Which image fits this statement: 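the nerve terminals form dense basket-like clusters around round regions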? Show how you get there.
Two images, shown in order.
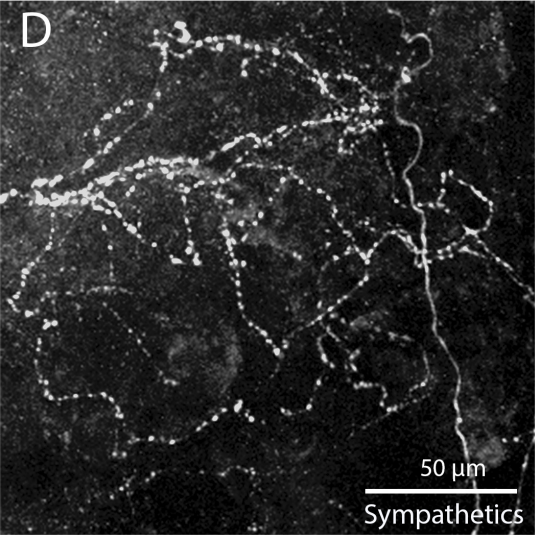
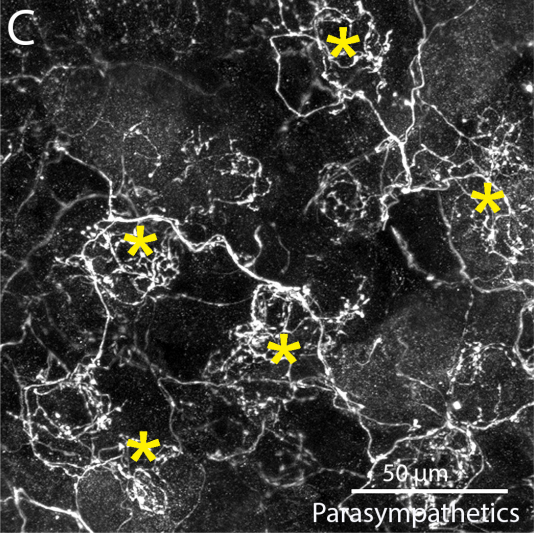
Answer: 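The second image. First image: sparse beaded fibers spread fairly evenly without dense clusters. Second image: fibers gather into dense tangled clusters around round regions.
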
